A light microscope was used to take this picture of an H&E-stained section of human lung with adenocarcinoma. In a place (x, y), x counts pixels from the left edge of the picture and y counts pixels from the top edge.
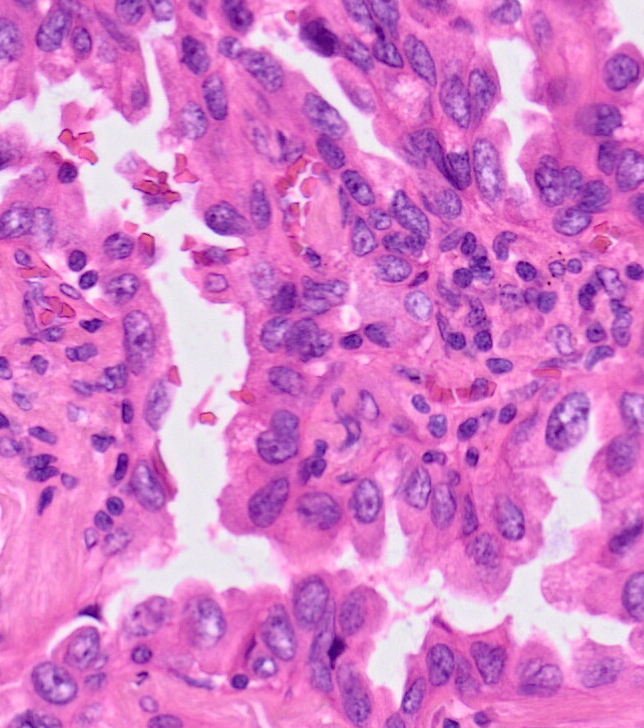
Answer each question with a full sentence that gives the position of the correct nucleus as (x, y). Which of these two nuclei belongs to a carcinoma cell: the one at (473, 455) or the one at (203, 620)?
Of these two nuclei, it is the one at (203, 620) that belongs to a carcinoma cell.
